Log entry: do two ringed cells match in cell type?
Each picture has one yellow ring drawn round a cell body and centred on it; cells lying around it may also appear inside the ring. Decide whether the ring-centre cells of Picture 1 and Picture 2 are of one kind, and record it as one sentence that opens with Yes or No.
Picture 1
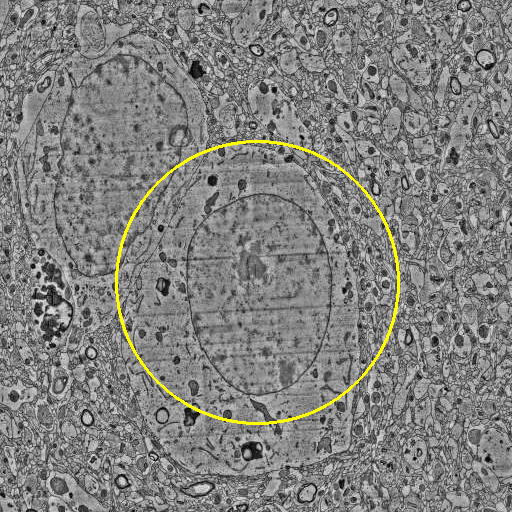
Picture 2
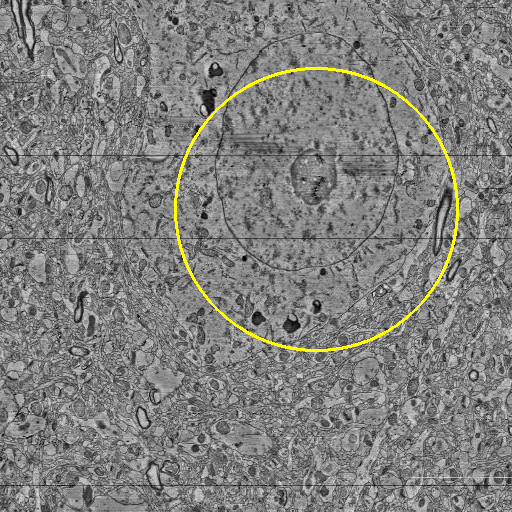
Yes, the cells at the ring centres of the two pictures belong to one kind.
